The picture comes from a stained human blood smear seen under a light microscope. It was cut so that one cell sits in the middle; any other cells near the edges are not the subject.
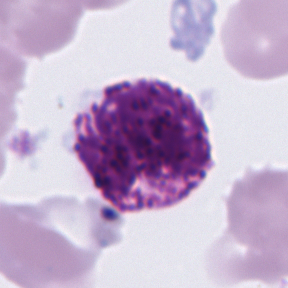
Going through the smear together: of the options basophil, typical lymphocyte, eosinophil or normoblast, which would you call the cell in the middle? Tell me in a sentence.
This crop has a basophil at its centre.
